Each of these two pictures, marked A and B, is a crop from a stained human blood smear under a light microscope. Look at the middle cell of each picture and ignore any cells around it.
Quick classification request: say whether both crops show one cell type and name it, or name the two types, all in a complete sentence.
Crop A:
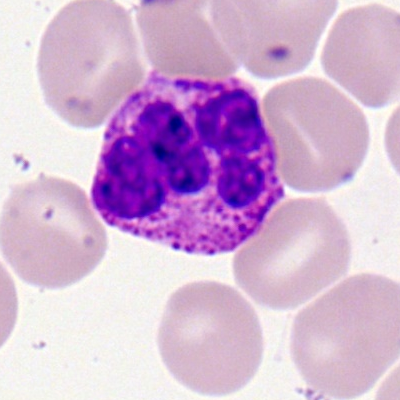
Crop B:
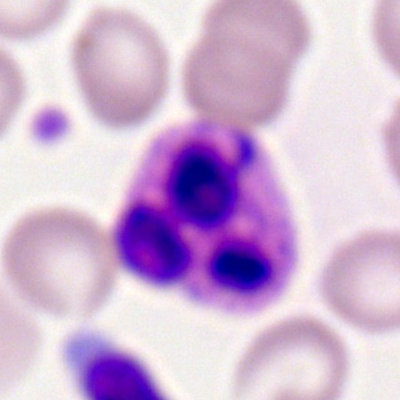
Yes, both crops show basophils as the central cells.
